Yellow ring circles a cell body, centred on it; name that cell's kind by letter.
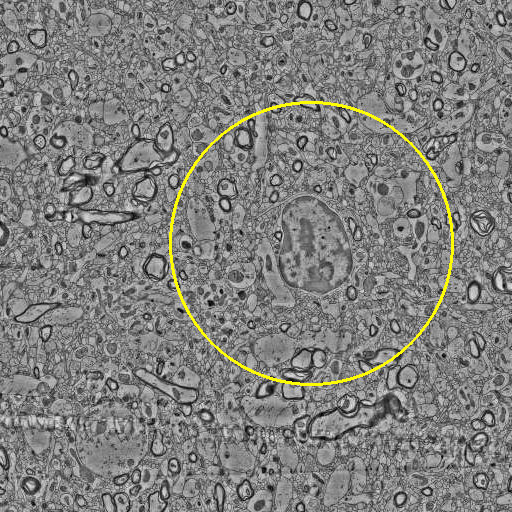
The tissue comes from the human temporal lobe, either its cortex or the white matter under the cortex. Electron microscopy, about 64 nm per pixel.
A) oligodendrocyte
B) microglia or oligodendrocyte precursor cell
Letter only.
B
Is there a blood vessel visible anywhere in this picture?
No.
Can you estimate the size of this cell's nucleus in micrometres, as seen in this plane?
About 6 by 5 micrometers, in this plane.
